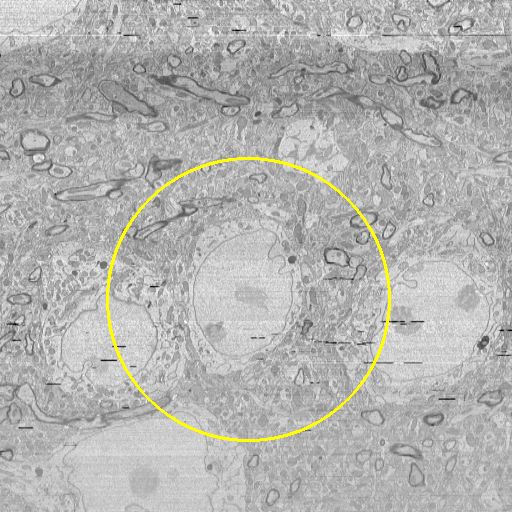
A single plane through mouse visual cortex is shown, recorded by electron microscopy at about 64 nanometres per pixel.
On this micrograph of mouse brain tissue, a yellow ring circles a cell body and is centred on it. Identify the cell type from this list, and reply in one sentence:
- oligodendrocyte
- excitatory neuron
The cell at the centre is an excitatory neuron.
